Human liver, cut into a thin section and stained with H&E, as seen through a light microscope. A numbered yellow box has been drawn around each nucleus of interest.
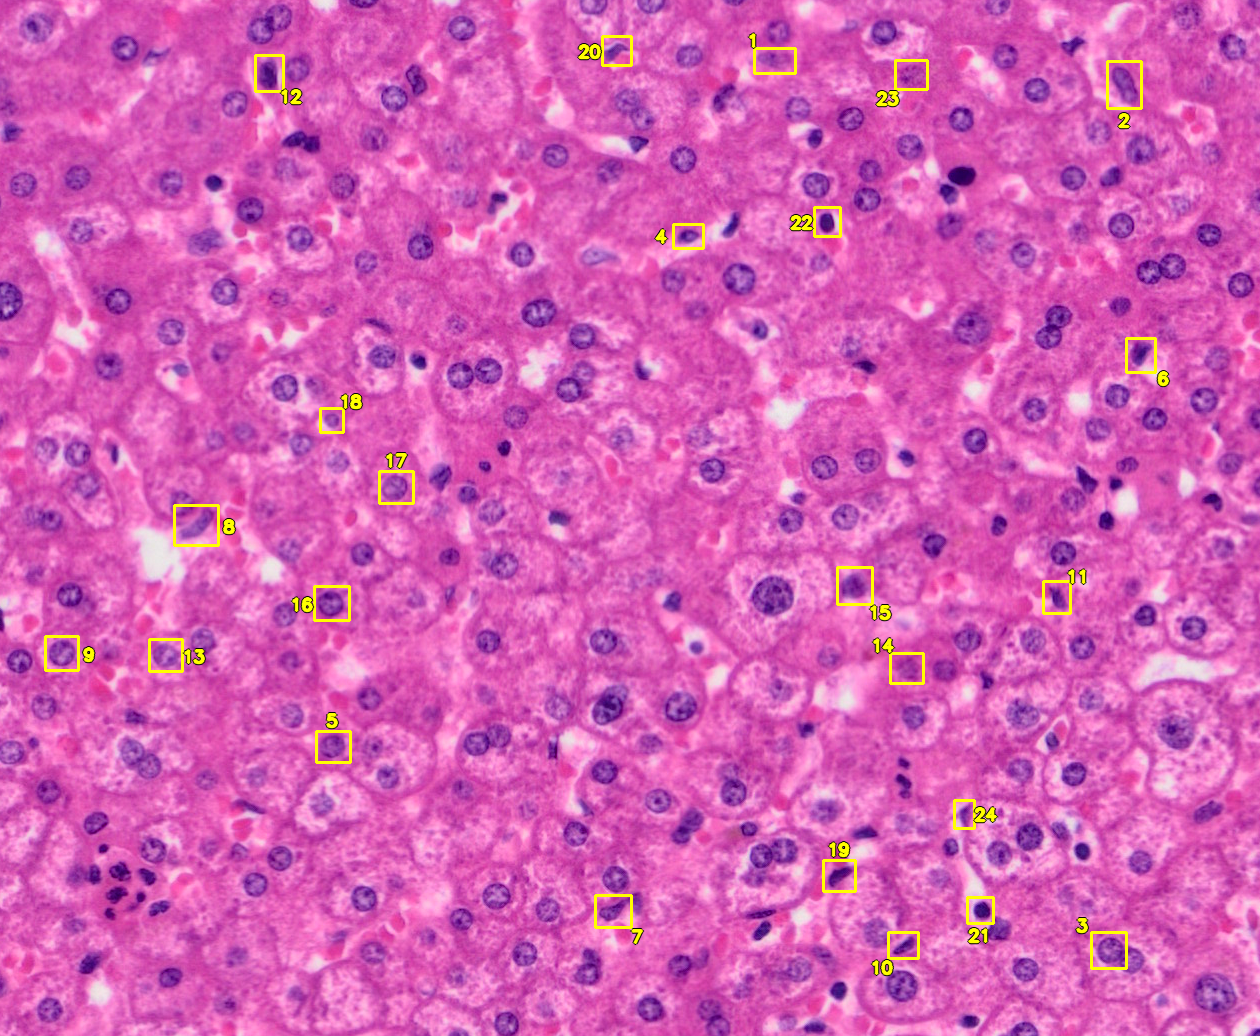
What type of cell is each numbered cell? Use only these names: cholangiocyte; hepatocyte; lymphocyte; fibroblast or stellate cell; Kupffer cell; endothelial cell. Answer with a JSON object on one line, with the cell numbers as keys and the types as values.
{"1": "Kupffer cell", "2": "Kupffer cell", "3": "hepatocyte", "4": "lymphocyte", "5": "hepatocyte", "6": "endothelial cell", "7": "Kupffer cell", "8": "Kupffer cell", "9": "hepatocyte", "10": "endothelial cell", "11": "endothelial cell", "12": "Kupffer cell", "13": "hepatocyte", "14": "hepatocyte", "15": "endothelial cell", "16": "hepatocyte", "17": "hepatocyte", "18": "Kupffer cell", "19": "endothelial cell", "20": "endothelial cell", "21": "lymphocyte", "22": "lymphocyte", "23": "hepatocyte", "24": "endothelial cell"}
